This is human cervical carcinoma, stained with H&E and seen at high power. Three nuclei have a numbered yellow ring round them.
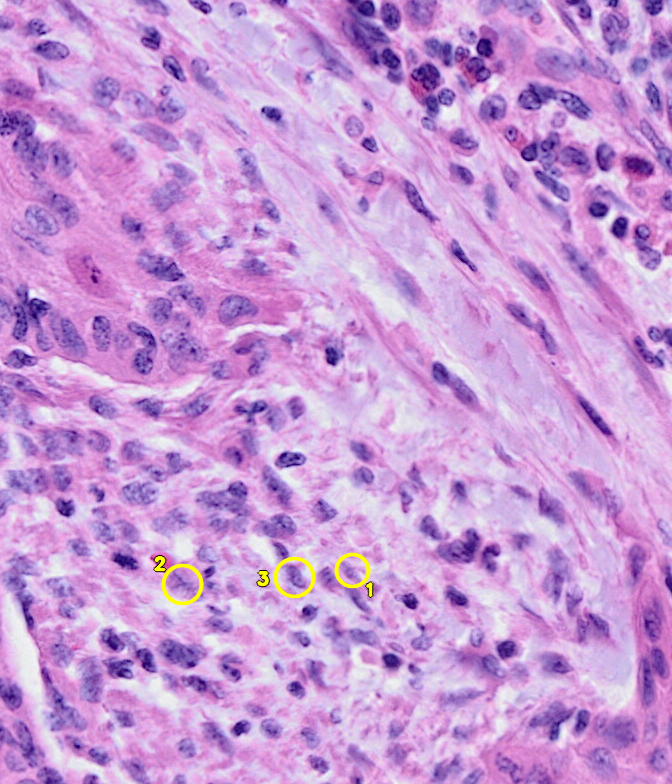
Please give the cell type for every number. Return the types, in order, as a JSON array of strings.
["fibroblast", "endothelial cell", "fibroblast"]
